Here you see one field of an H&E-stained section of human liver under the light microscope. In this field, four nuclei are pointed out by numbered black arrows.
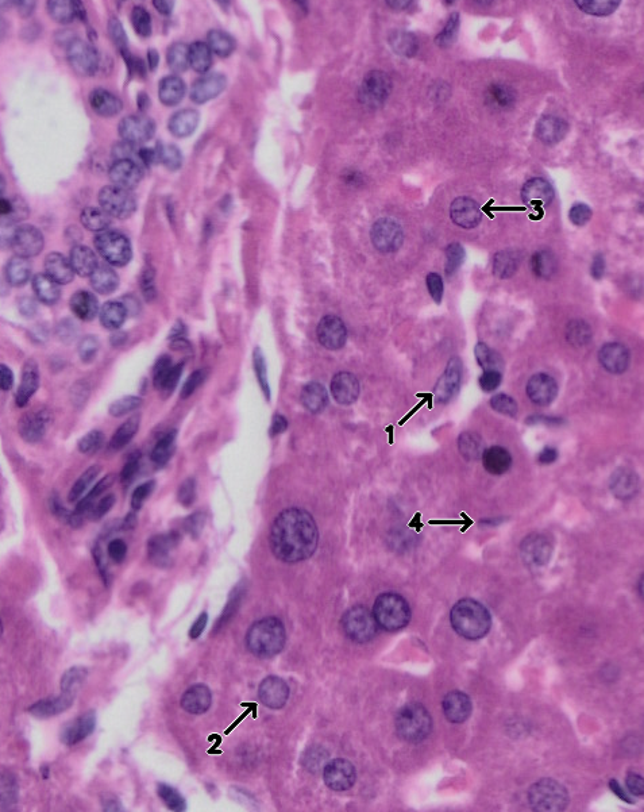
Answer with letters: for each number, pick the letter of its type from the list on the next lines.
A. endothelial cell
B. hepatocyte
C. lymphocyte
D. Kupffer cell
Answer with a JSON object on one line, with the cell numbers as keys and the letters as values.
{"1": "D", "2": "B", "3": "B", "4": "A"}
